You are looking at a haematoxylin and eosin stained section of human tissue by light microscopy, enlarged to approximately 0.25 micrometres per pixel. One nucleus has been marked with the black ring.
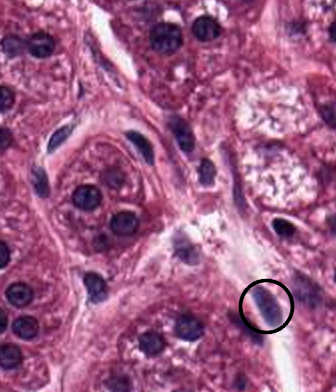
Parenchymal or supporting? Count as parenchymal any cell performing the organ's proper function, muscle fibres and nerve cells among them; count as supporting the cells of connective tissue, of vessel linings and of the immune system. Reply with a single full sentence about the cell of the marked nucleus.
The cell holding the marked nucleus is identified as a supporting cell.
